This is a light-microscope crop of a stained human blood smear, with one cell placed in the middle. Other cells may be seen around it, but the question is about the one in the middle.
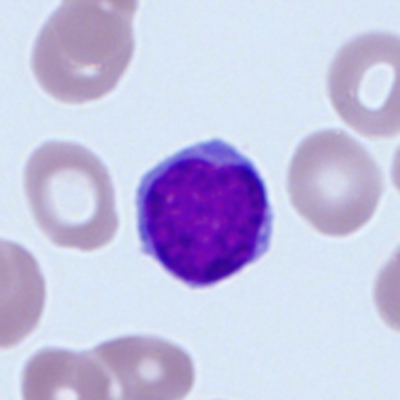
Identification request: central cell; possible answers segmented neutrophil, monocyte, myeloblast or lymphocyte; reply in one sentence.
The center cell of this crop is a lymphocyte.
